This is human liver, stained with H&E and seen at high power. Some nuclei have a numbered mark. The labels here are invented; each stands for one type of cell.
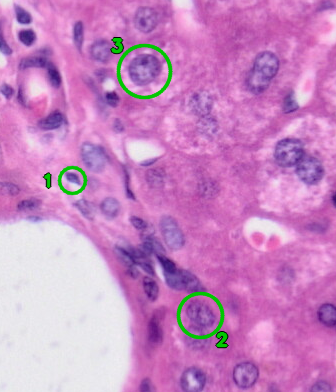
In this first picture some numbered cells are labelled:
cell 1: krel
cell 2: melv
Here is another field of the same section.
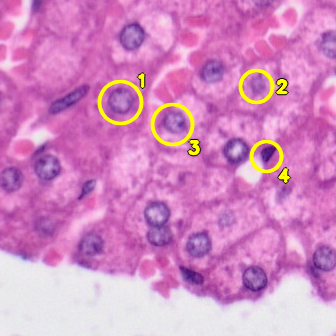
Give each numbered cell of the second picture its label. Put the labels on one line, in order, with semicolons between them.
melv; melv; melv; krel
